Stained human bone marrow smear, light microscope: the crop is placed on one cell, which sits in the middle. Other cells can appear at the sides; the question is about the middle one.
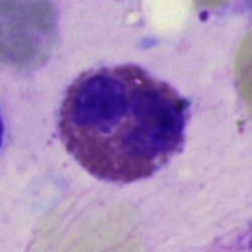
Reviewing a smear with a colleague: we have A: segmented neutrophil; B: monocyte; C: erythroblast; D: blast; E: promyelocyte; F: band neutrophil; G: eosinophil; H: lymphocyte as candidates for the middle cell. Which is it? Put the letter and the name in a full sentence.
The middle of the crop holds an eosinophil, which points to option G.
